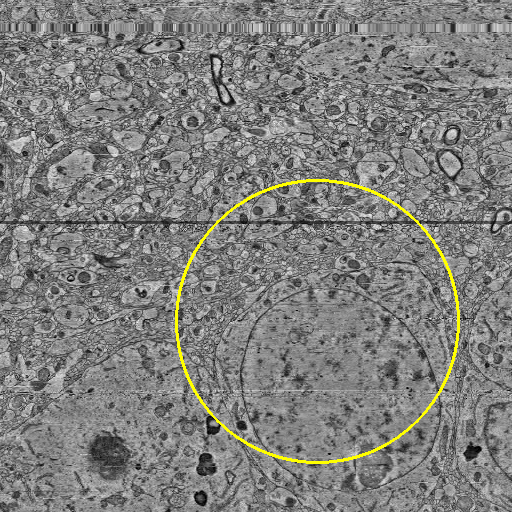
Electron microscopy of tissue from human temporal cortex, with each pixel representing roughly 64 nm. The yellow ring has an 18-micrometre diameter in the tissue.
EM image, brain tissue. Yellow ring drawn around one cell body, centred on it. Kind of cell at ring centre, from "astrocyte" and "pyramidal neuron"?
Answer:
pyramidal neuron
